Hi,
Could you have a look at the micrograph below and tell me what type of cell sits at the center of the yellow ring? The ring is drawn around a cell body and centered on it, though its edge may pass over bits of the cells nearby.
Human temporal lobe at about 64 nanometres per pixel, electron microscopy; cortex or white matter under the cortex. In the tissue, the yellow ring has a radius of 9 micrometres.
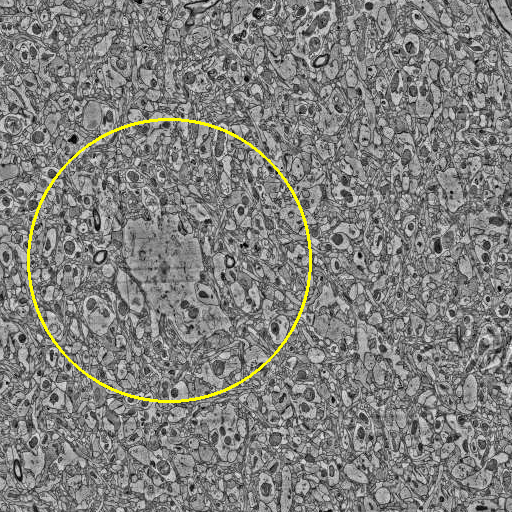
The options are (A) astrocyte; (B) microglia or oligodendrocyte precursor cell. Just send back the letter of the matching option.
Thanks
A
